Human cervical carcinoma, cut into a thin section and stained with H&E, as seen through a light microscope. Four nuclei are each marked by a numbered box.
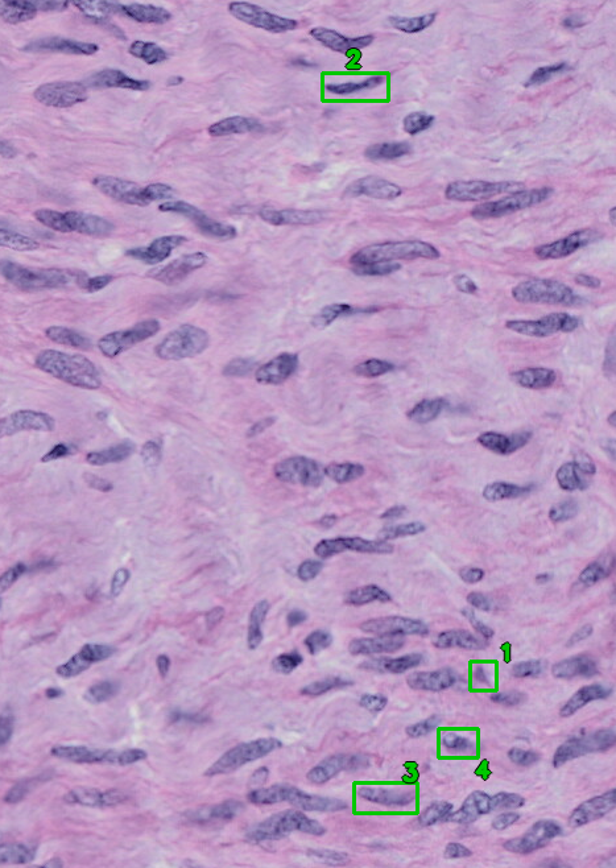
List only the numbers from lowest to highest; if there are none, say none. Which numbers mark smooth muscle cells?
1, 3, 4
